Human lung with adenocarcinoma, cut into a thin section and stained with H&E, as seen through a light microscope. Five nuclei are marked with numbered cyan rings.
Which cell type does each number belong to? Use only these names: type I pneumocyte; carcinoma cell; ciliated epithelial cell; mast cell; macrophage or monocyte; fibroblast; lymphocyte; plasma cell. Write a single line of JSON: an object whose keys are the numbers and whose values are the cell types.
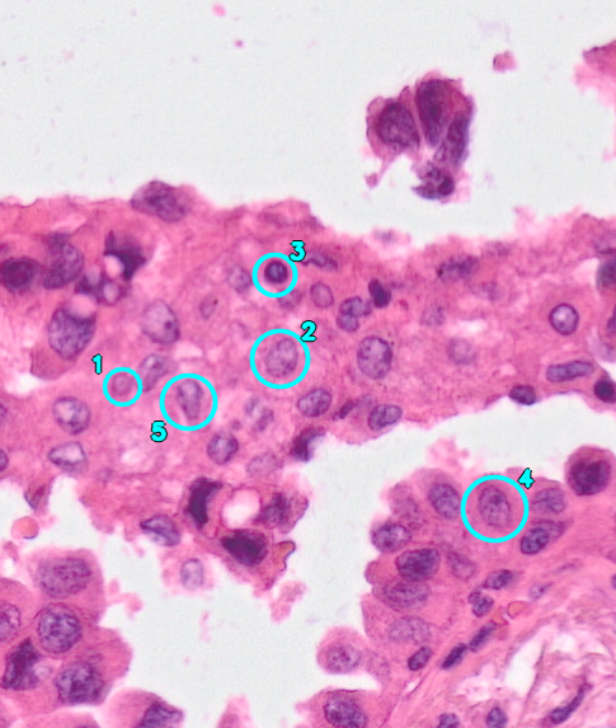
{"1": "macrophage or monocyte", "2": "macrophage or monocyte", "3": "lymphocyte", "4": "carcinoma cell", "5": "macrophage or monocyte"}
